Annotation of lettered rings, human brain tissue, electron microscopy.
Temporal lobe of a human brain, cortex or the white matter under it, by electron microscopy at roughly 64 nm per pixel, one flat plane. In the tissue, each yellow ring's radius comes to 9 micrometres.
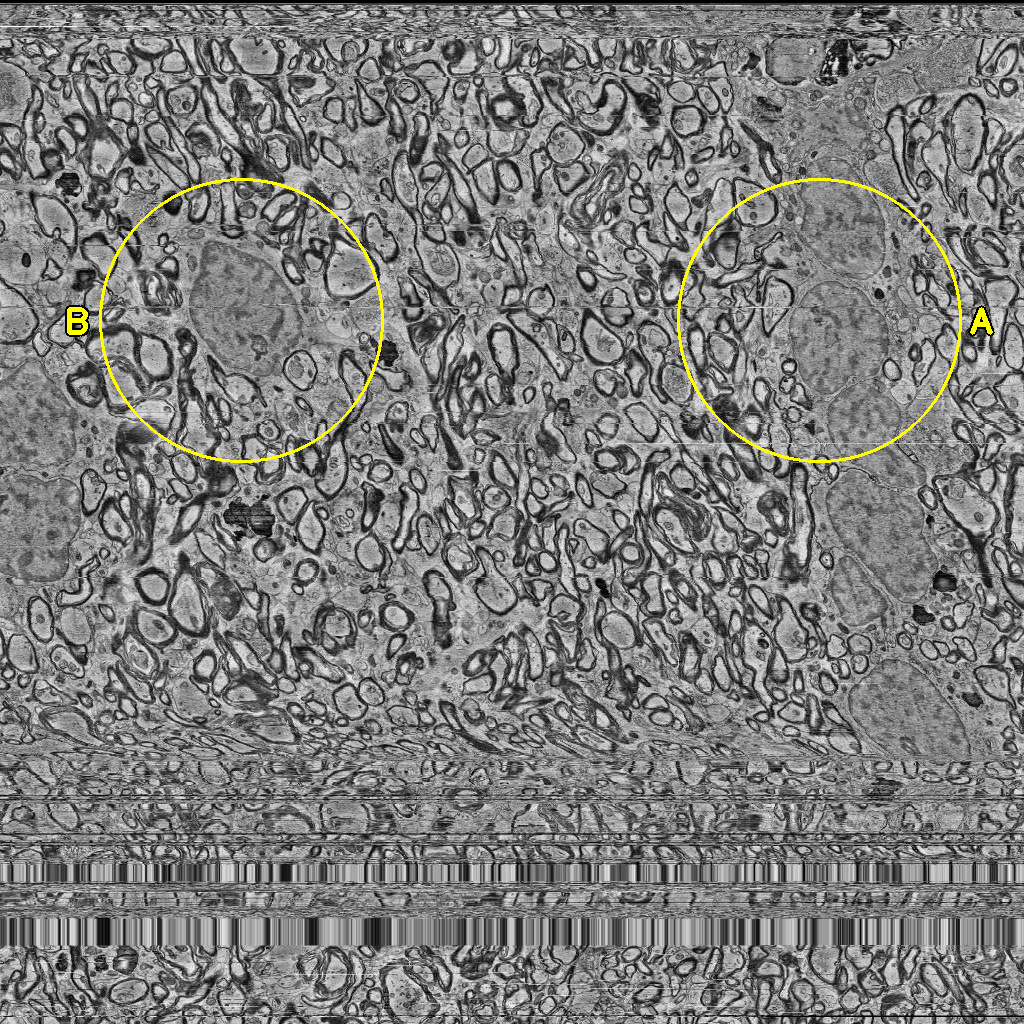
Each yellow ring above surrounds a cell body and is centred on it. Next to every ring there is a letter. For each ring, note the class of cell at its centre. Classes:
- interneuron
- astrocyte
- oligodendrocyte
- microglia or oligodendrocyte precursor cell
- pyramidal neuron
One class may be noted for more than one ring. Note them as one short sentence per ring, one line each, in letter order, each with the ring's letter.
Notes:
The class noted at ring A is an oligodendrocyte.
The class noted at ring B is an oligodendrocyte.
